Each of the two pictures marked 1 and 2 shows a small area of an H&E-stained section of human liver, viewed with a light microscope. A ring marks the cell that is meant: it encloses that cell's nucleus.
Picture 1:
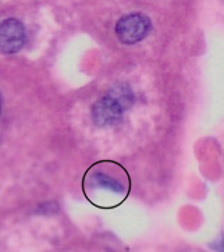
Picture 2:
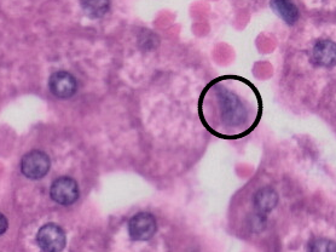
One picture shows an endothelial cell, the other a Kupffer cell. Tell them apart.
1: endothelial cell
2: Kupffer cell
